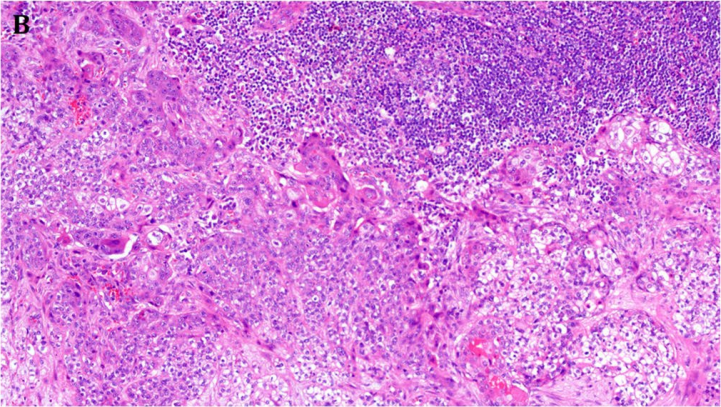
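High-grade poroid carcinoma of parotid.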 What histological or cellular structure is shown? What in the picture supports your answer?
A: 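A dense band of small dark round cells across the upper part of the panel. The small dark cells lie beside nests of larger pale and pink tumour cells. So: lymphoid cuff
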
